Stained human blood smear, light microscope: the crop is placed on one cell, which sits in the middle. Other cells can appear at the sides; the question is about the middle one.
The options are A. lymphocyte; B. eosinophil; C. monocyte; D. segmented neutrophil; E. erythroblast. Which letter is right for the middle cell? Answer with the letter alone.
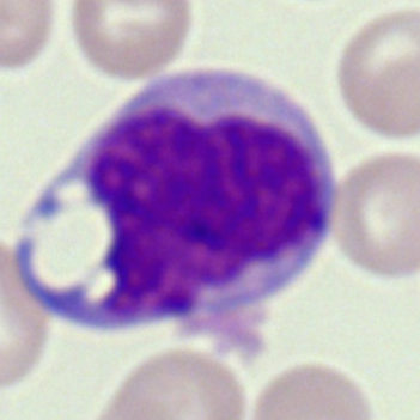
C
